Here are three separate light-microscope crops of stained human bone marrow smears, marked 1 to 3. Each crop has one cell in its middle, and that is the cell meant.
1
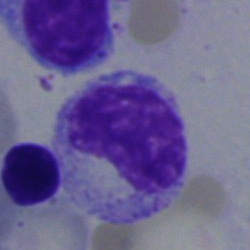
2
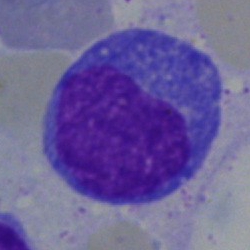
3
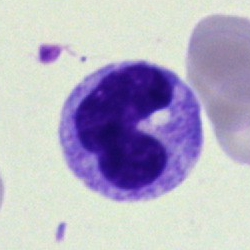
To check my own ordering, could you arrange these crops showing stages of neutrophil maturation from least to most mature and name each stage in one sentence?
The maturation sequence, from earliest to latest, is crop 2 (a promyelocyte), crop 1 (a metamyelocyte) and crop 3 (a band neutrophil).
